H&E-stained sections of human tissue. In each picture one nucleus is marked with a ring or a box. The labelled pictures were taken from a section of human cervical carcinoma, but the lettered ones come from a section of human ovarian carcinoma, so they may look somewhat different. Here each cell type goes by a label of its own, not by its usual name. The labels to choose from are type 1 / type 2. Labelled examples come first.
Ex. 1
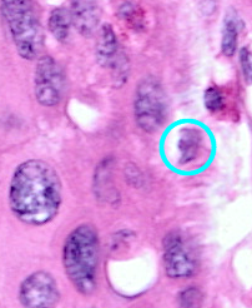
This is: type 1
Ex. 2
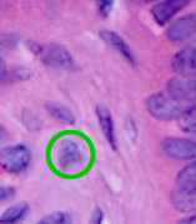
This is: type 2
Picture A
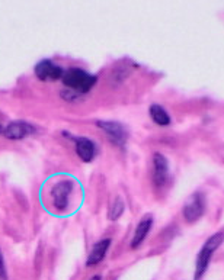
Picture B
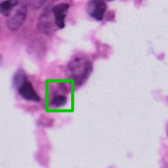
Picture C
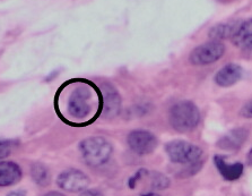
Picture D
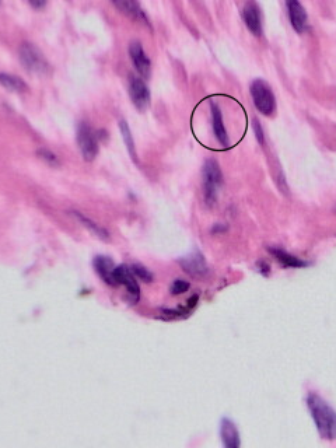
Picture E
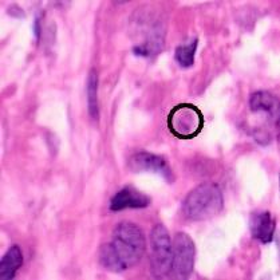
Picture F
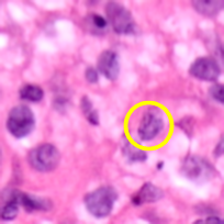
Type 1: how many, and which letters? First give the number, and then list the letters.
Count: 4 (B, C, E, F)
